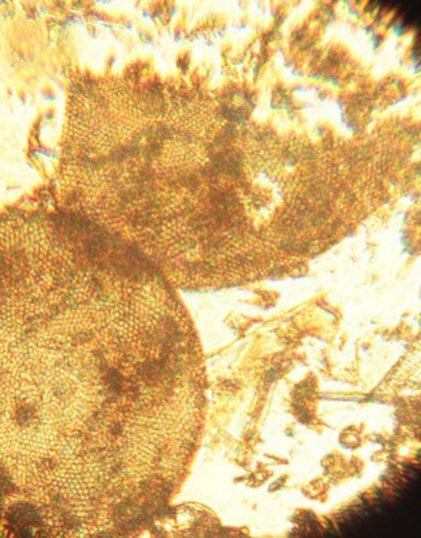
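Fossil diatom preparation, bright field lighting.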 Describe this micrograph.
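One shell lies lower left with a smoothly curved margin, and a second, partly broken shell lies above and behind it. The pale background holds small angular and needle-like fragments of debris.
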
